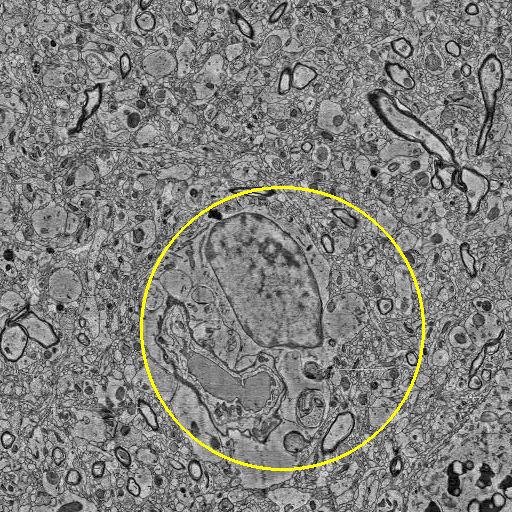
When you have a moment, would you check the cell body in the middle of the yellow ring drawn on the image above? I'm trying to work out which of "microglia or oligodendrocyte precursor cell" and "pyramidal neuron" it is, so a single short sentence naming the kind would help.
This cell body belongs to a microglial cell or oligodendrocyte precursor cell.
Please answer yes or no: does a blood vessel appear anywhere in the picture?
Yes, one appears.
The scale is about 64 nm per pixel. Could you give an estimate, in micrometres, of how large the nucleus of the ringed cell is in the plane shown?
Roughly 10 micrometres by 6 micrometres, so the nucleus is clearly longer than it is wide in this plane.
